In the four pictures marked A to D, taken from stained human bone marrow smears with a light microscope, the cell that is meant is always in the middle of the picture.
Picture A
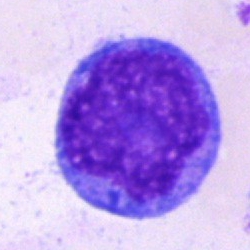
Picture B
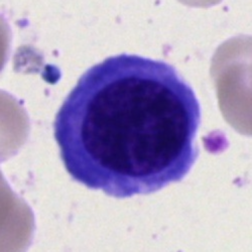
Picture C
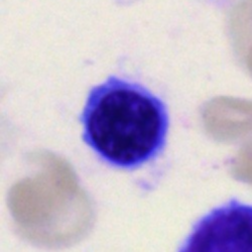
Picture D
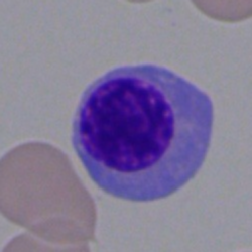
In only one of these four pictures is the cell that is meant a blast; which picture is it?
A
